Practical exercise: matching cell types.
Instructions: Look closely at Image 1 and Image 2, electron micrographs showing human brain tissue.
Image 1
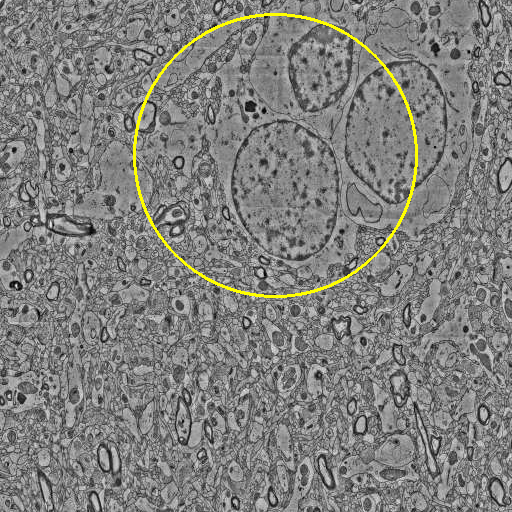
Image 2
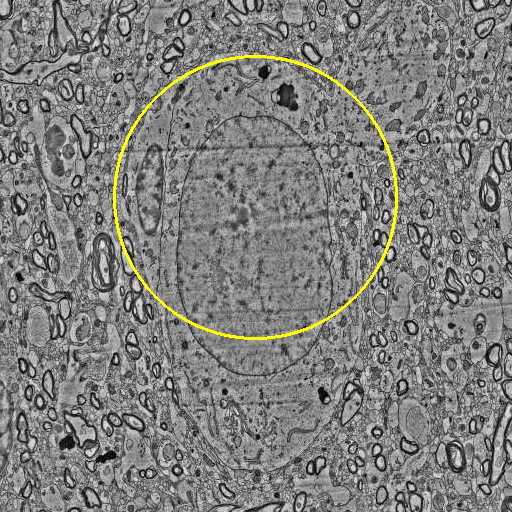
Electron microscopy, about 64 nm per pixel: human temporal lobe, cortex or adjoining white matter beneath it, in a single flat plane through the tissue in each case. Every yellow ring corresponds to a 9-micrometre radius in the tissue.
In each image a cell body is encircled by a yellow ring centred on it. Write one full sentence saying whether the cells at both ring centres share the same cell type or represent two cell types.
Across Image 1 and Image 2, the cells at the ring centres represent two cell types.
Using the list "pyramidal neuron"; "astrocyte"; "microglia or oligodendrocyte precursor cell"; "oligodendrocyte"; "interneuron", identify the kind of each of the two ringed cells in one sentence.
The first is an astrocyte and the second is a pyramidal neuron.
